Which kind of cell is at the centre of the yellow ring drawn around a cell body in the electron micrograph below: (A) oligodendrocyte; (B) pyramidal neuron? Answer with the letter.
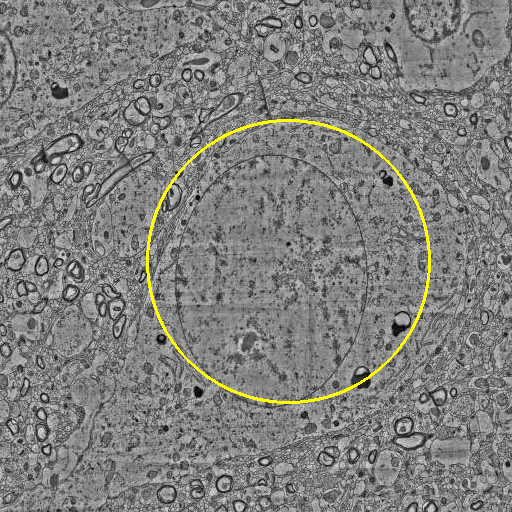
B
